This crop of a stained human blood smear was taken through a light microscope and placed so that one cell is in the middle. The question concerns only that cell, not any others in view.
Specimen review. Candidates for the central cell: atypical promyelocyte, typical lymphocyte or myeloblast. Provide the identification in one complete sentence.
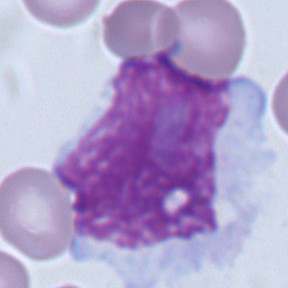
The cell around which this crop is centred is a myeloblast.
